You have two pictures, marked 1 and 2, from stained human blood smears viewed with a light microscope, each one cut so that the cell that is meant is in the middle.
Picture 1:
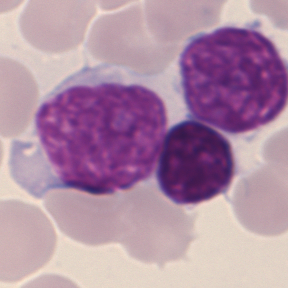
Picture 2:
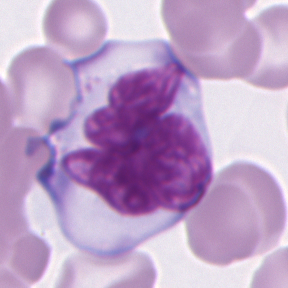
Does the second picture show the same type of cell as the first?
no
